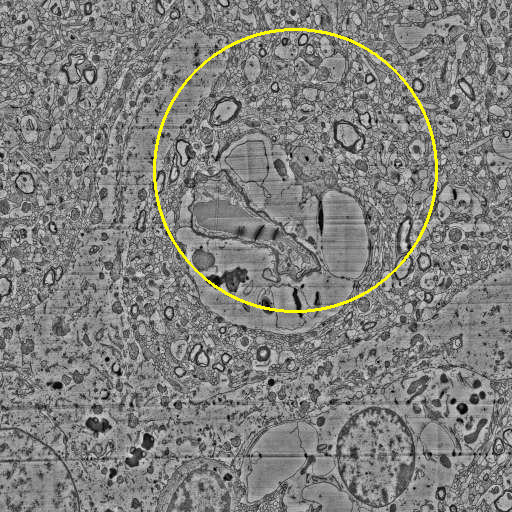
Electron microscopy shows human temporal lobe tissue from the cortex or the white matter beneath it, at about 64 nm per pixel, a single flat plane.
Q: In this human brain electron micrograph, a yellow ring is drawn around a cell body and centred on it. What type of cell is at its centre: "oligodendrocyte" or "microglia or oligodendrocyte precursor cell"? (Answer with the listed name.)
oligodendrocyte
